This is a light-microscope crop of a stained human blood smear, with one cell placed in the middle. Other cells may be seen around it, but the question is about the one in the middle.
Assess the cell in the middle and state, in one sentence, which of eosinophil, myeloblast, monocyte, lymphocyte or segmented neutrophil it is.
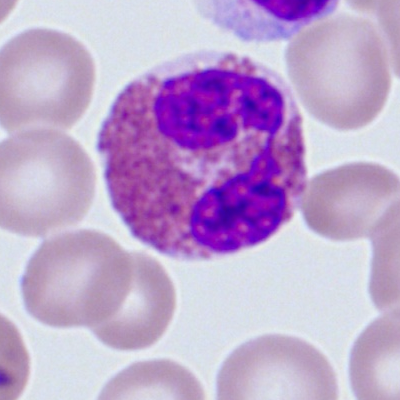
Centrally within this crop lies an eosinophil.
